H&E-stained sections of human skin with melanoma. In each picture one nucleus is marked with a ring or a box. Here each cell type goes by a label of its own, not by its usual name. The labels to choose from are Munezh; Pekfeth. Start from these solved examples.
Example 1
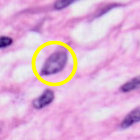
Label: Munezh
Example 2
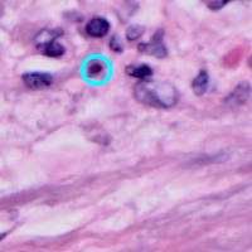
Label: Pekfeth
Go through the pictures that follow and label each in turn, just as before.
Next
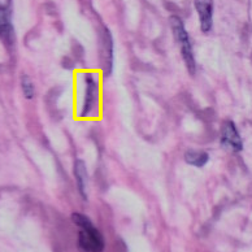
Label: Munezh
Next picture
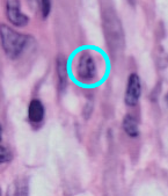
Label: Pekfeth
